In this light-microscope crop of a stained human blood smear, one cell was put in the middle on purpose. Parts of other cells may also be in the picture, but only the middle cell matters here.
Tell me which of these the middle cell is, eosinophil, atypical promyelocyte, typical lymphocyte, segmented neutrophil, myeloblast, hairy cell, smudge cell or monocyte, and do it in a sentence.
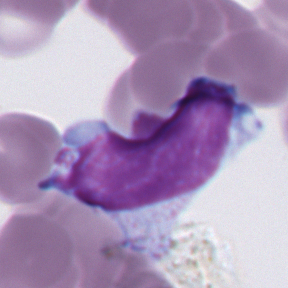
The middle cell in this particular crop is a typical lymphocyte.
